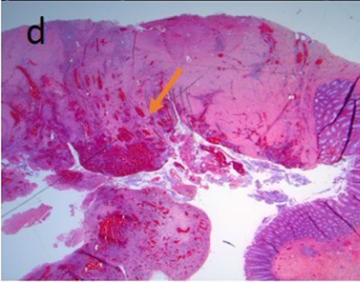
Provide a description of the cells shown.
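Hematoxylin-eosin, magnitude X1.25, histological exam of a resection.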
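On the right, the mucosa shows closely packed, parallel tubular glands, stained deep purple. They sit on a paler pink layer. Toward the left and centre, the regular glandular pattern is lost. Here the tissue is a broad, disorganized pink mass, scattered with many bright red patches and streaks that look like extravasated blood. The arrow points to one such dense red area. A white cleft runs through the lower centre, lined by ragged tissue fragments. More pink and red tissue lies below it at the lower left.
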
